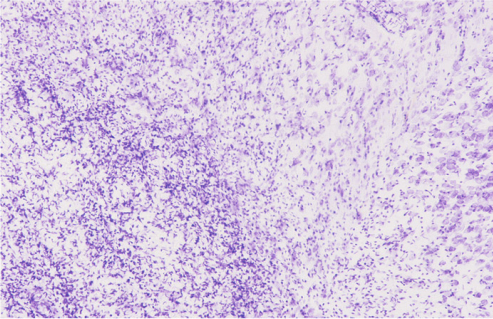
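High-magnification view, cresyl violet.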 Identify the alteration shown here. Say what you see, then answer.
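A region of many small, dark violet cells packed densely on the left side. These cells are smaller than the paler cells toward the right.
Answer: gliosis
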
